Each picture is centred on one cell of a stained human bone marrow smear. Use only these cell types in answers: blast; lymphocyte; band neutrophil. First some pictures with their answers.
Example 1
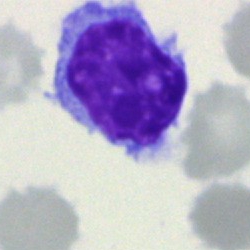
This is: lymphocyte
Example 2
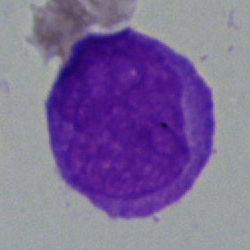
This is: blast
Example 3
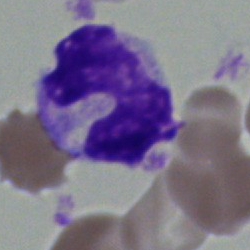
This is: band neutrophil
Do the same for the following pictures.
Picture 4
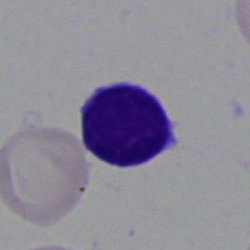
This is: lymphocyte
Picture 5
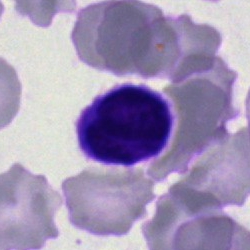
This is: lymphocyte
